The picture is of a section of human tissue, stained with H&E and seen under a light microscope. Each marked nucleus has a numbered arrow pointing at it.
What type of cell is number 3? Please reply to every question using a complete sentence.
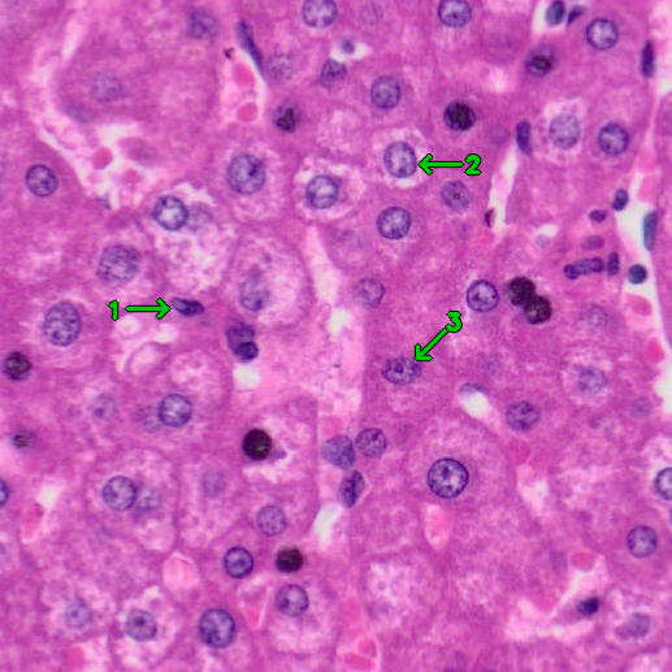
In this section, number 3 marks a hepatocyte.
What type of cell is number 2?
The nucleus labeled 2 belongs to a hepatocyte.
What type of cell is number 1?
The cell that carries the label 1 is a fibroblast or stellate cell.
